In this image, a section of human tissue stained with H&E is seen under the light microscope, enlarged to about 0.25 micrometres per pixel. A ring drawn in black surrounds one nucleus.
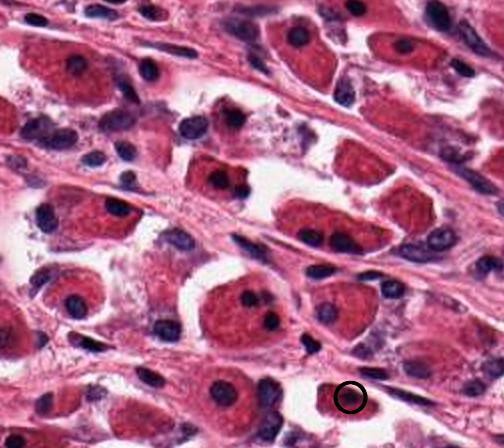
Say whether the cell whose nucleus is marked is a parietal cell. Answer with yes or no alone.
yes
